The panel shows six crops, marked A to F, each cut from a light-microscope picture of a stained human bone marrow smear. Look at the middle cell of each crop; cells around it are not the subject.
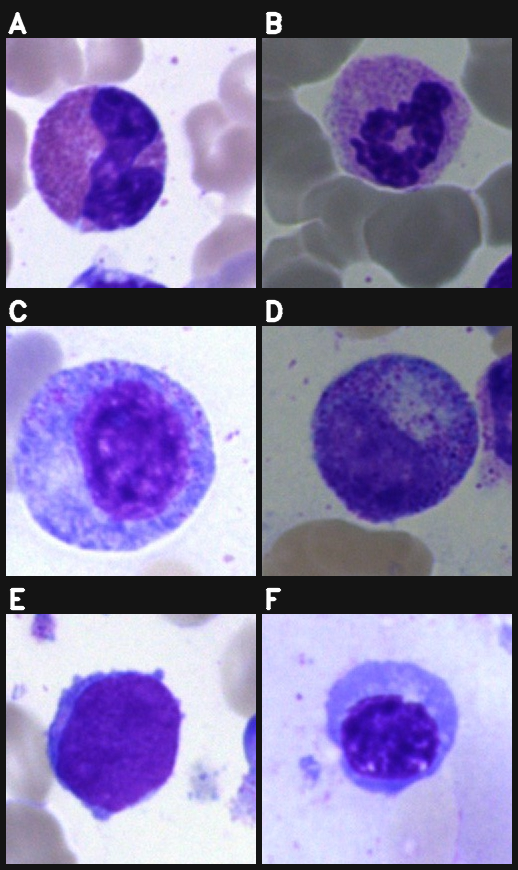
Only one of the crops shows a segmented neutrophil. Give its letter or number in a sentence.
The crop with a segmented neutrophil in it is crop B.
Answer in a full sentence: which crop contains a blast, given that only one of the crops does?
The cell identified as a blast is the one in crop E.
